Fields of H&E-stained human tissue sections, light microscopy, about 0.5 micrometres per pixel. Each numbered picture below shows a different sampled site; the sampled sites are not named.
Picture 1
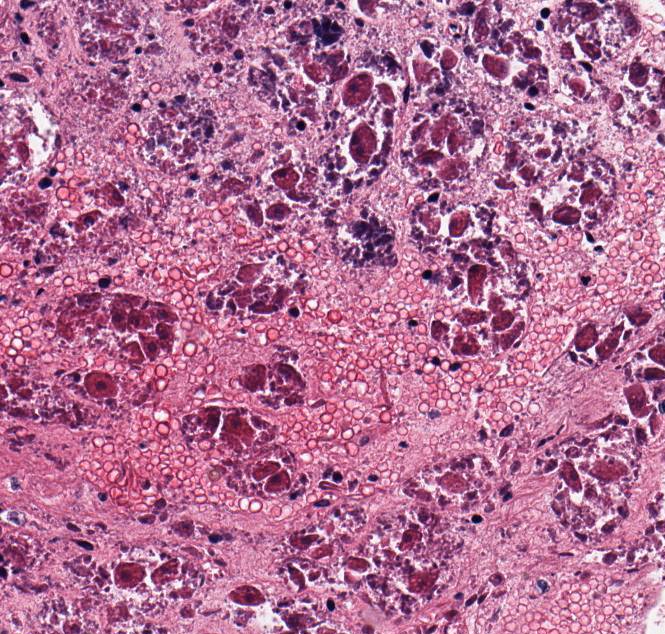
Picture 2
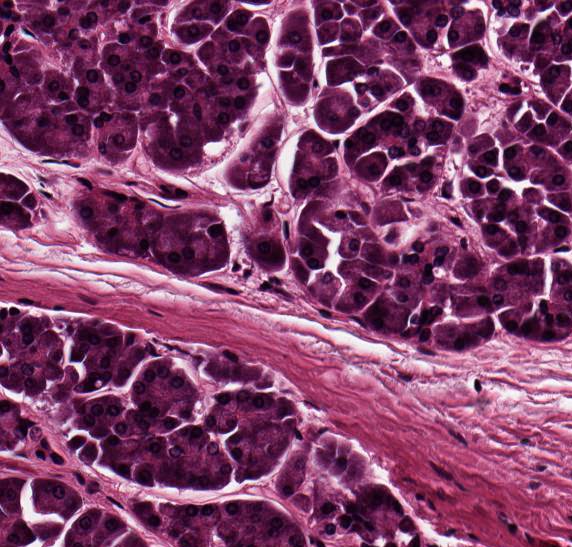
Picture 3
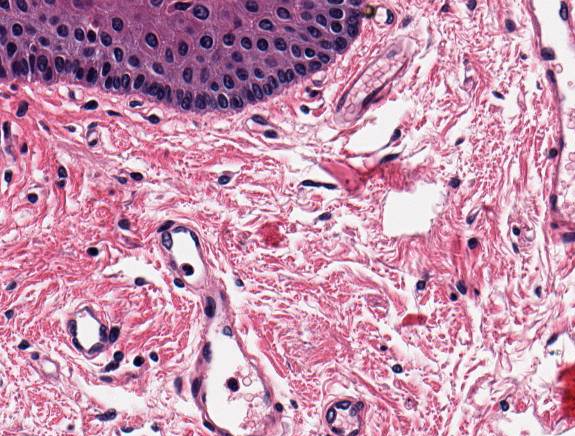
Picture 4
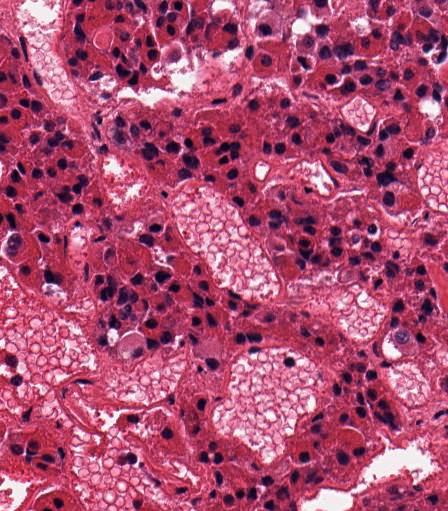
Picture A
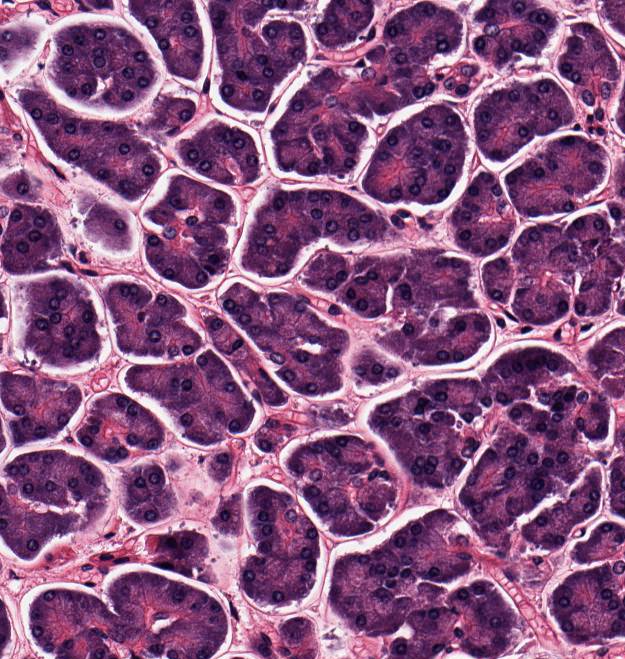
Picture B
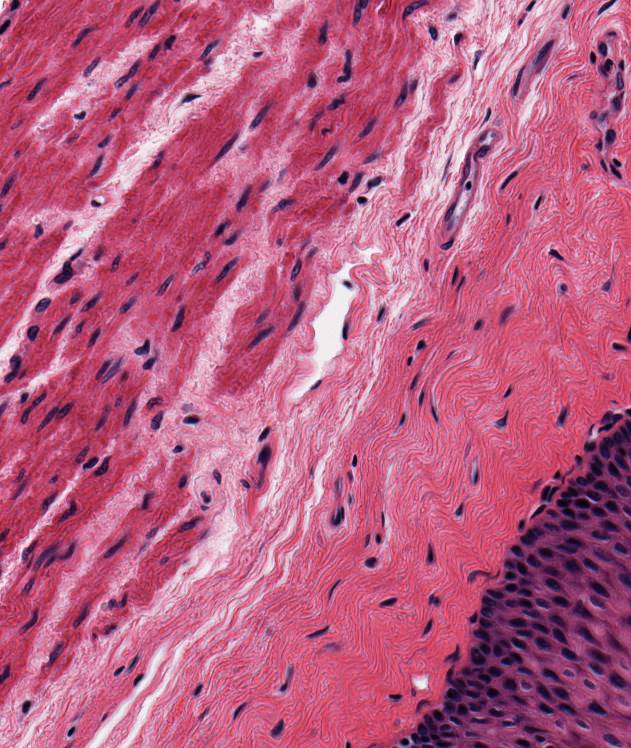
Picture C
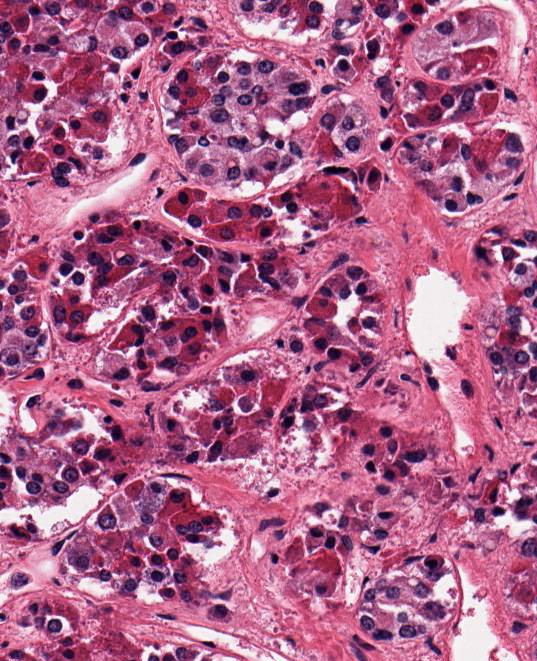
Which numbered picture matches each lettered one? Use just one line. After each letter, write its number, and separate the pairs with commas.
A 2, B 3, C 4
